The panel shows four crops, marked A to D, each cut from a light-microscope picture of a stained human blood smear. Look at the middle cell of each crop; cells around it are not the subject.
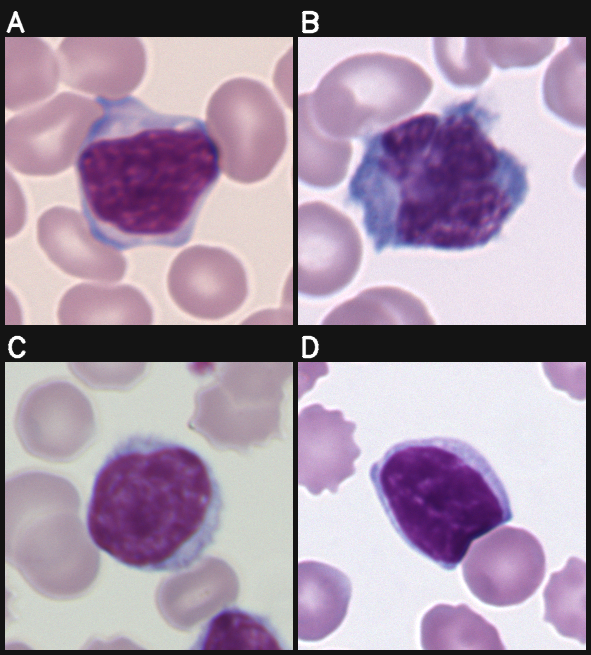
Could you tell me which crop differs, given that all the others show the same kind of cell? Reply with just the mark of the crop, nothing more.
B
